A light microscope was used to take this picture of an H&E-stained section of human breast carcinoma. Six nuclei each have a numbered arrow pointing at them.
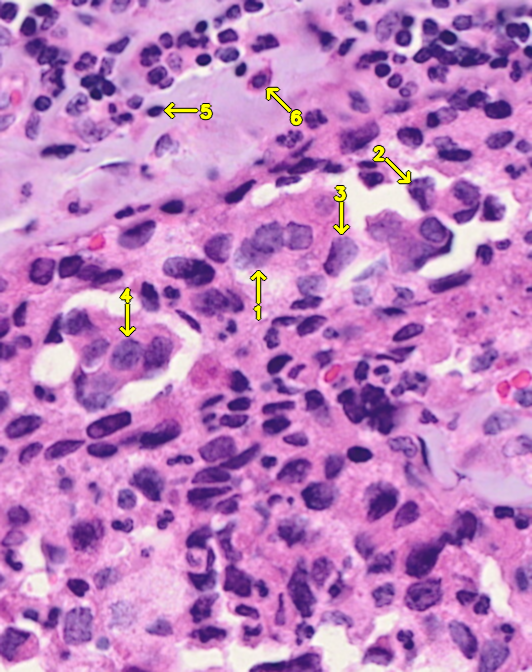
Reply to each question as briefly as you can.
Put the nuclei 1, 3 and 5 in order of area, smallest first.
5, 3, 1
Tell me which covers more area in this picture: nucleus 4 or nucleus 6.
4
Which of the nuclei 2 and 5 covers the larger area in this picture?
2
